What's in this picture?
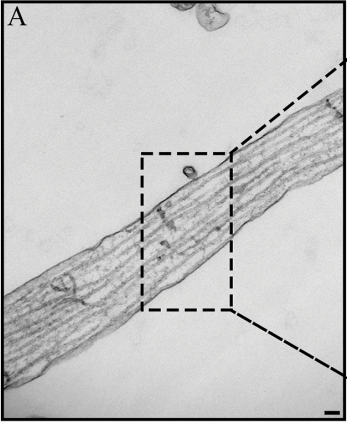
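A transmission electron micrograph of a single axon running diagonally across a pale, empty background. The axon is a long, band-like process of fairly even width, bounded by a thin dark membrane. Inside, numerous fine, dark, continuous filaments run parallel to one another and to the long axis of the process, evenly spaced across its width. A few small dark dots and a small round profile lie among the filaments, and a small membrane-bound vesicle sits just outside the upper edge. The interior otherwise appears light and uniform, without large organelles.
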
